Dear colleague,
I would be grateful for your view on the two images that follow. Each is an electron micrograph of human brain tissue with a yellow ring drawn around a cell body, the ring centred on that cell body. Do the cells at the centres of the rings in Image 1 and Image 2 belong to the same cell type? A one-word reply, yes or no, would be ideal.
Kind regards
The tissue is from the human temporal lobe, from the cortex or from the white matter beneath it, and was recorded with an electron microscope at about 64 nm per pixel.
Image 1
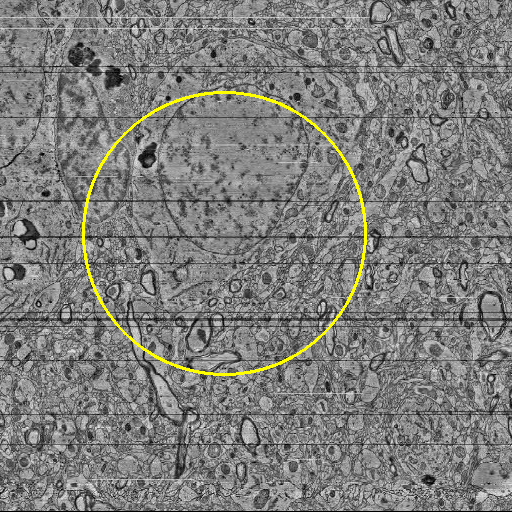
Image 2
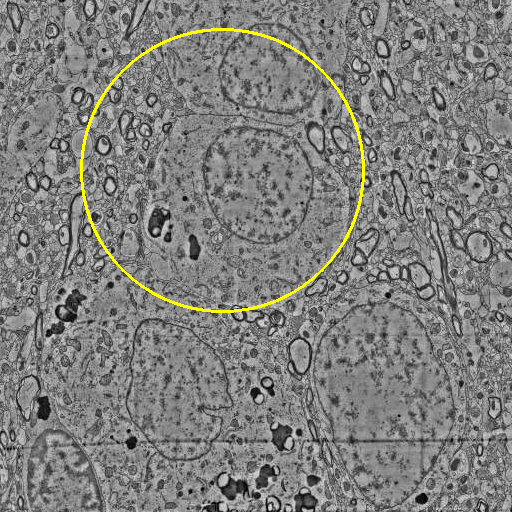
yes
